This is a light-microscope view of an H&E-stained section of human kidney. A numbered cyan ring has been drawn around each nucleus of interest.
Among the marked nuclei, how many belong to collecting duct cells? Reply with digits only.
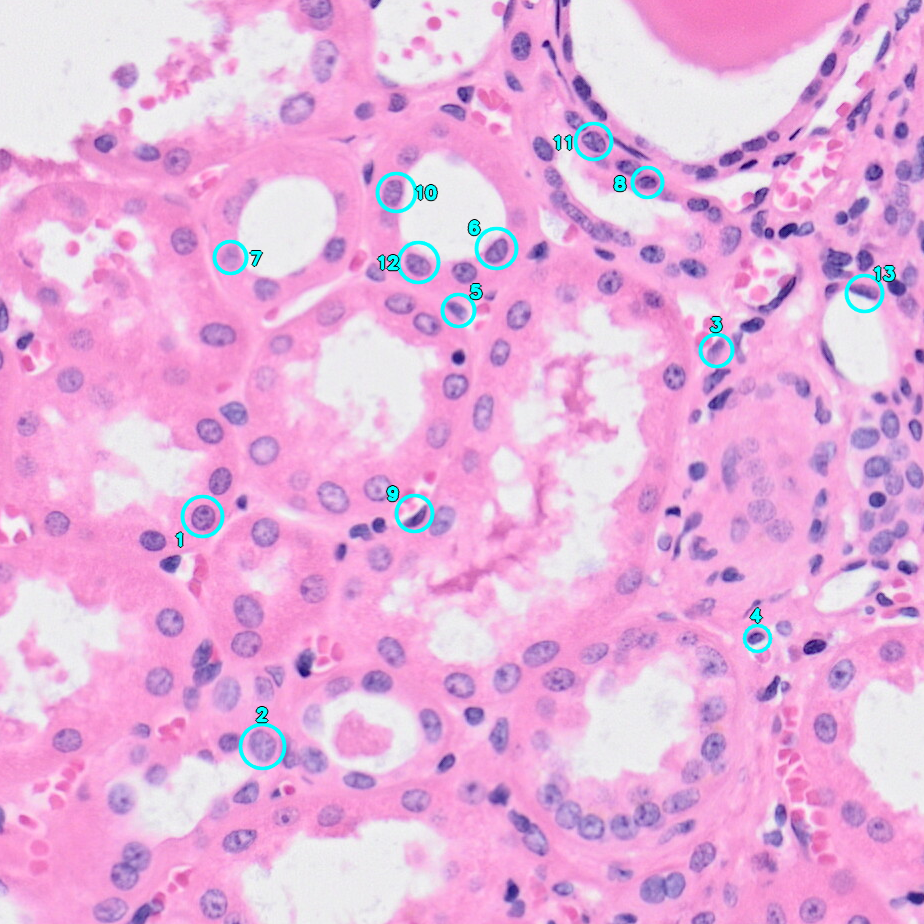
3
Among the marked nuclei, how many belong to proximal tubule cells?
1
